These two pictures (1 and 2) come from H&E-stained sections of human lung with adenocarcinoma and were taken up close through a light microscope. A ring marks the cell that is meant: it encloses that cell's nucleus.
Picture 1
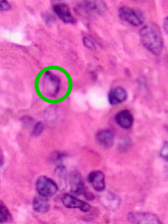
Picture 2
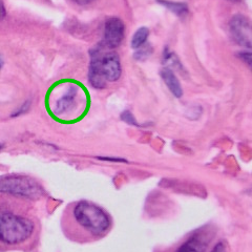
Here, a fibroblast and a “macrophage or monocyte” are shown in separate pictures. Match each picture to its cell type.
1: macrophage or monocyte
2: fibroblast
